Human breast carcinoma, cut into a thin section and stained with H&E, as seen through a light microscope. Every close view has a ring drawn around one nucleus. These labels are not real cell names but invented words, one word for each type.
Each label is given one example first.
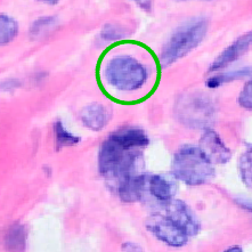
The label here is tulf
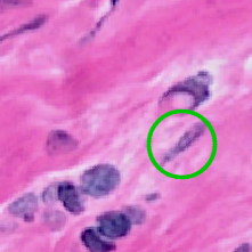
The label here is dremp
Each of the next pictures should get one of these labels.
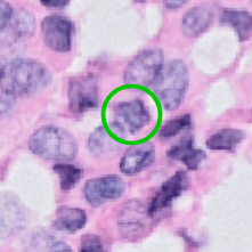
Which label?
tulf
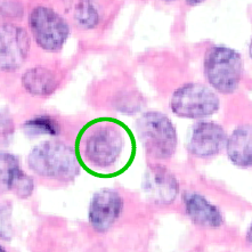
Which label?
tulf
